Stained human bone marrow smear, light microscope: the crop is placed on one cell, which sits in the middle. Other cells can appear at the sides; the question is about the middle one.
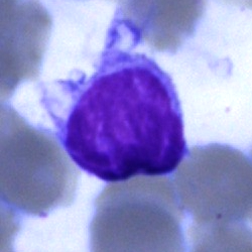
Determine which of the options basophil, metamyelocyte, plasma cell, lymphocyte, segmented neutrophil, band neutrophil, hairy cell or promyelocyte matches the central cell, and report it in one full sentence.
The central cell in this smear crop is a hairy cell.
